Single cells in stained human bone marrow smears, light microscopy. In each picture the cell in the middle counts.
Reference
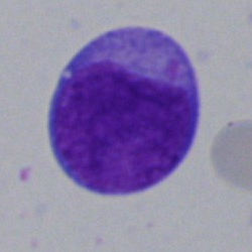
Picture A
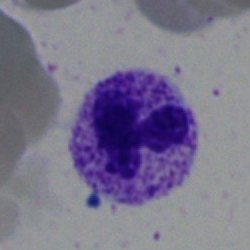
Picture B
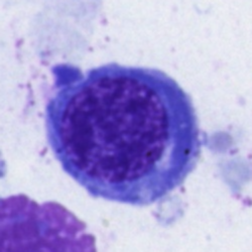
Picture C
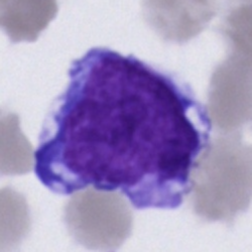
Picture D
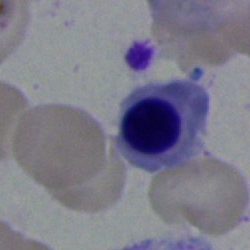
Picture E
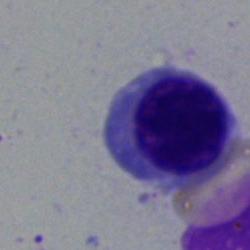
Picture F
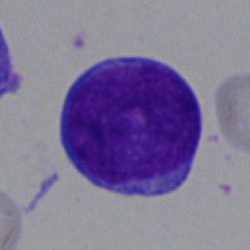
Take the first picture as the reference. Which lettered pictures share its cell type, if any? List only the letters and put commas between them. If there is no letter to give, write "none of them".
C, F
